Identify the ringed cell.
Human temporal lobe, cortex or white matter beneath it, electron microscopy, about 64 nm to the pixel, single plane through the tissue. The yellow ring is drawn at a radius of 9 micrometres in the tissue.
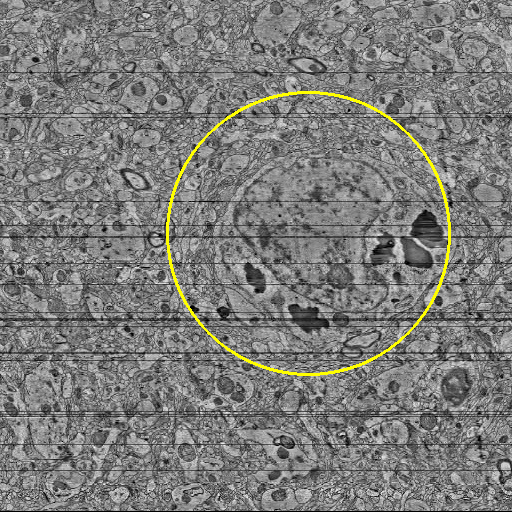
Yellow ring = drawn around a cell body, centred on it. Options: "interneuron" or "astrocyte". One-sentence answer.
What the ring is centred on is an interneuron.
